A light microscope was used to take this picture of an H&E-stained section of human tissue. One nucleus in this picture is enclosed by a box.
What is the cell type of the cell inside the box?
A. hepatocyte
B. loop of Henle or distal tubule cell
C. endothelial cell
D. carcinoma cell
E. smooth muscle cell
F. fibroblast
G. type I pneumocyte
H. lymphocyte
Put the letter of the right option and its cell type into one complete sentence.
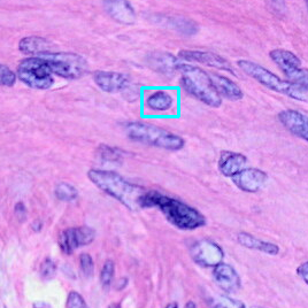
Option E is right in classifying the cell inside the box as a smooth muscle cell.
